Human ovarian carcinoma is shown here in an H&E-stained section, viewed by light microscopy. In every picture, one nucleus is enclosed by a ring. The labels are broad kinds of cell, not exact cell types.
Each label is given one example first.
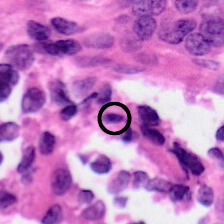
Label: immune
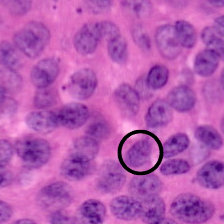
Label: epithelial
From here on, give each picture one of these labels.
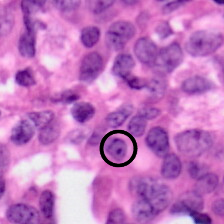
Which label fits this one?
immune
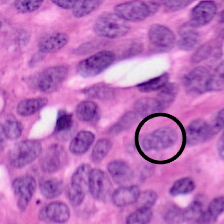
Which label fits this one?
epithelial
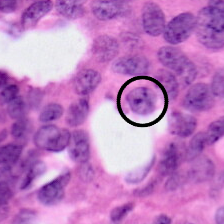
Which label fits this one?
immune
